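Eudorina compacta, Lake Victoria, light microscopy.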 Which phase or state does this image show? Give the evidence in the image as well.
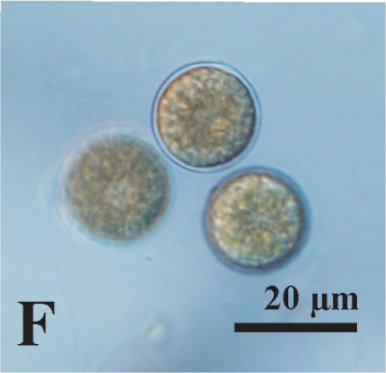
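Three isolated spherical cells with a distinct smooth wall. Contents are brownish and granular rather than bright green. So: Mature zygotes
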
